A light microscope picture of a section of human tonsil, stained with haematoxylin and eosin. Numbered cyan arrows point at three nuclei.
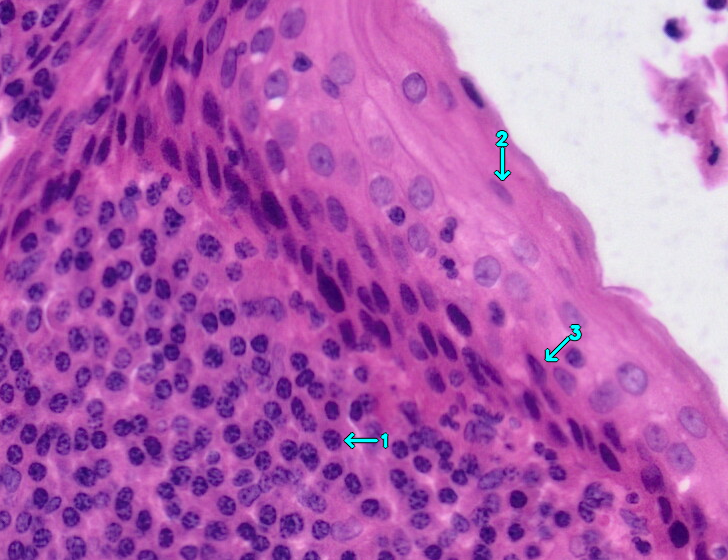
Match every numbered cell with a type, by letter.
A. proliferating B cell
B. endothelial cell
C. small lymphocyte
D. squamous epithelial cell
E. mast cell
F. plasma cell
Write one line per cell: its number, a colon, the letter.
1: F
2: D
3: D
